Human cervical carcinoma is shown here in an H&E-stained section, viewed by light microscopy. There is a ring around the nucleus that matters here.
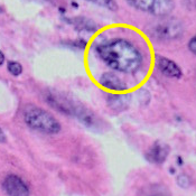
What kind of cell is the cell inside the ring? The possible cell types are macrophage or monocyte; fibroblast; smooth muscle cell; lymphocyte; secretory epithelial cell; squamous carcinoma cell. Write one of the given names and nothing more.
squamous carcinoma cell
